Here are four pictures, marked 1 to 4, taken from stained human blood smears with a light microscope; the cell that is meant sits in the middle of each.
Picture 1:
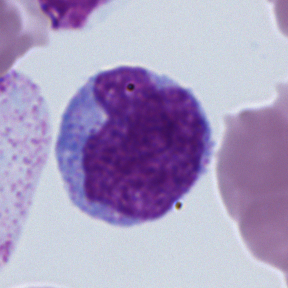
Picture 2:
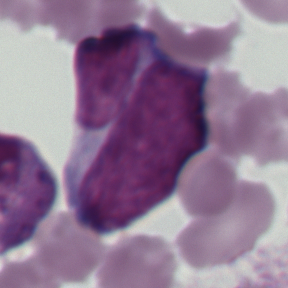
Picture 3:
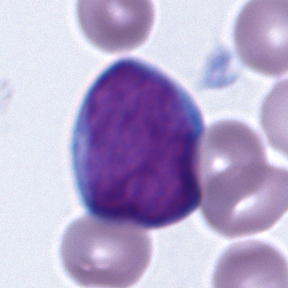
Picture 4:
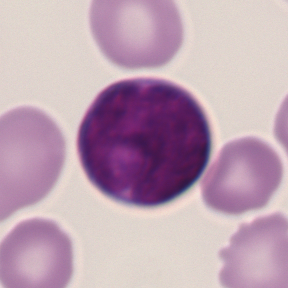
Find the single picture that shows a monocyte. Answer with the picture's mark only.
1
